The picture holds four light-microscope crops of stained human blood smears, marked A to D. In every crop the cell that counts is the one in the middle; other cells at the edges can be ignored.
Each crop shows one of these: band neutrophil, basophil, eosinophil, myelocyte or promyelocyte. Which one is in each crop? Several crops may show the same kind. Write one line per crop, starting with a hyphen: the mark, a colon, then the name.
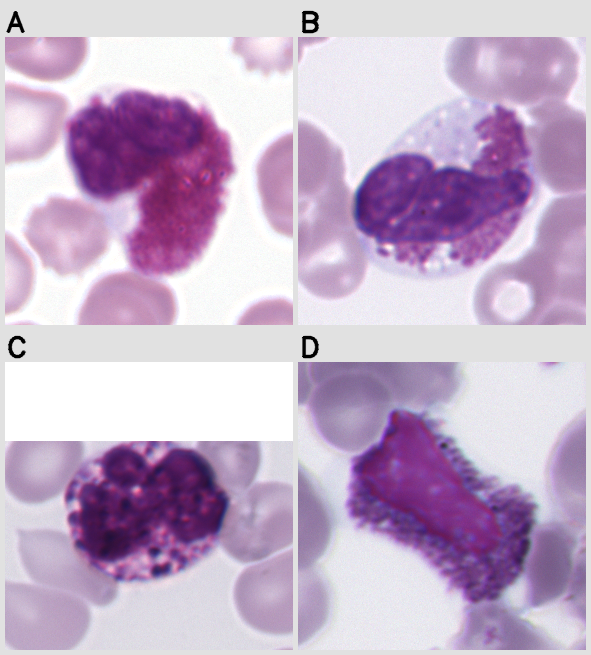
- A: eosinophil
- B: eosinophil
- C: basophil
- D: eosinophil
